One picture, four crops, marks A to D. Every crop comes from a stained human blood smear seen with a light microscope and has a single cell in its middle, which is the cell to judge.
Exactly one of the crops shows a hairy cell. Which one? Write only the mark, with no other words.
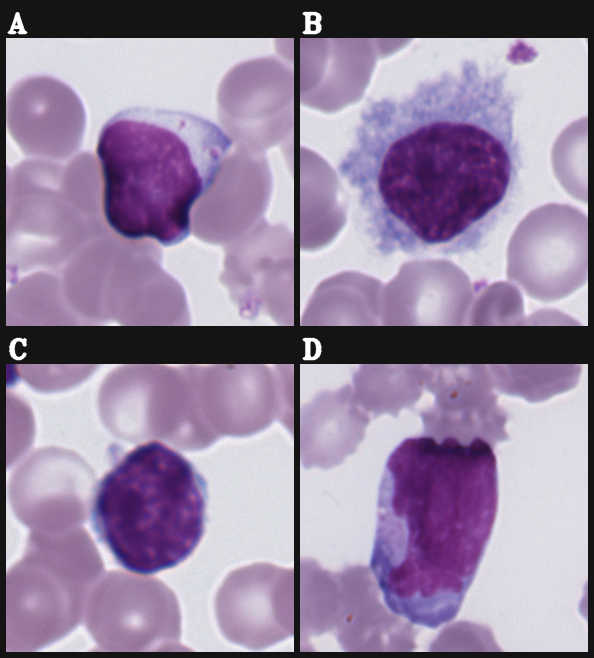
B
